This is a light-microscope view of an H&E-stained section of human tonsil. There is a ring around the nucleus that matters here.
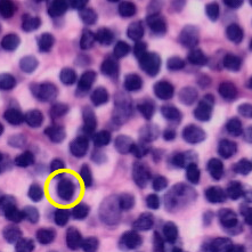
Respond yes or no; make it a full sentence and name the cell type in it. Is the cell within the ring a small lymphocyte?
Yes, the cell within the ring is properly called a small lymphocyte in this section.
